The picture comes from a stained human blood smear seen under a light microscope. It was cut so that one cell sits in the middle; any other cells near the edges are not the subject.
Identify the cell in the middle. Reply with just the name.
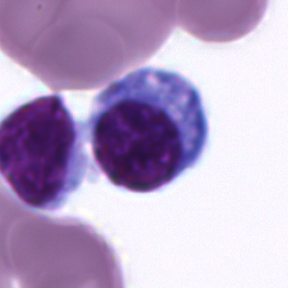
plasma cell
